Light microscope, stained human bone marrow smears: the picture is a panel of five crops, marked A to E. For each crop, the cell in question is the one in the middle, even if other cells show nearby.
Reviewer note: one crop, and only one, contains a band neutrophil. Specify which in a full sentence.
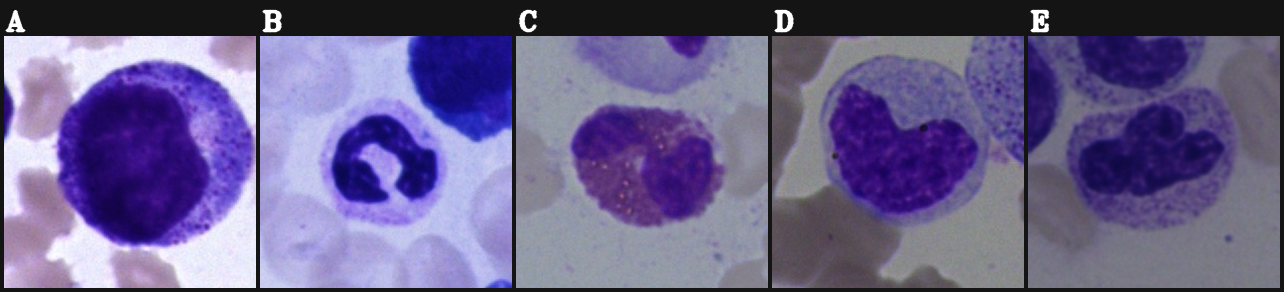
Crop E is the crop in which a band neutrophil is shown.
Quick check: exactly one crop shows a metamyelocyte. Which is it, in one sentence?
The correct choice is crop D, the one showing a metamyelocyte.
